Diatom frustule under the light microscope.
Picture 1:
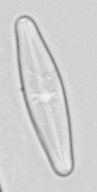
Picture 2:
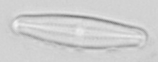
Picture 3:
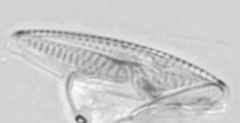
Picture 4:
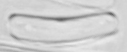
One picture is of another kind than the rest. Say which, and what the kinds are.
Picture 3 shows Navicula; the rest show Achnanthidium.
